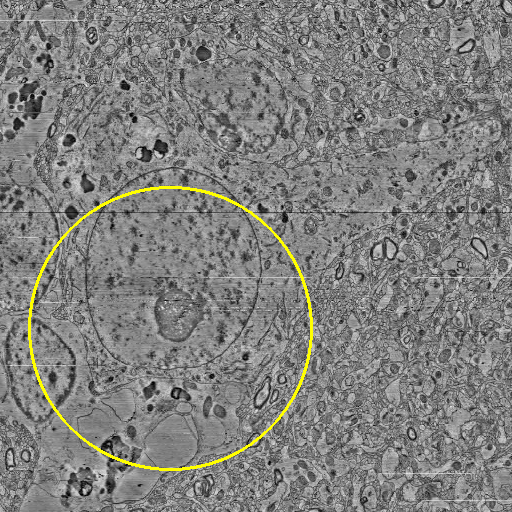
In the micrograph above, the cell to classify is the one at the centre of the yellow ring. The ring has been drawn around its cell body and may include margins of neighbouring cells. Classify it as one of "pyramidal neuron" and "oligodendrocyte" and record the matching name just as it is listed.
pyramidal neuron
